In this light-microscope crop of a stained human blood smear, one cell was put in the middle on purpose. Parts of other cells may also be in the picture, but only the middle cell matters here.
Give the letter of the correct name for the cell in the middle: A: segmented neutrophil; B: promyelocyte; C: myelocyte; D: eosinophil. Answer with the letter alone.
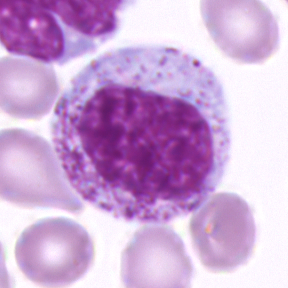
C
